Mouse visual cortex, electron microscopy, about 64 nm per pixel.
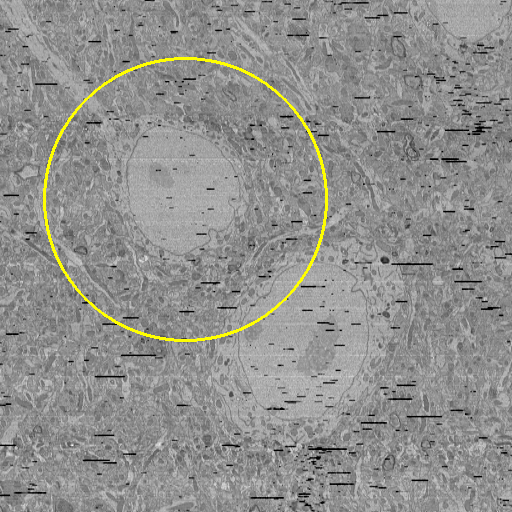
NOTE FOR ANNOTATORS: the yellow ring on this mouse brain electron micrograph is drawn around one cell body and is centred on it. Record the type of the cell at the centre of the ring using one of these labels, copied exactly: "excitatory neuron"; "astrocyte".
excitatory neuron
